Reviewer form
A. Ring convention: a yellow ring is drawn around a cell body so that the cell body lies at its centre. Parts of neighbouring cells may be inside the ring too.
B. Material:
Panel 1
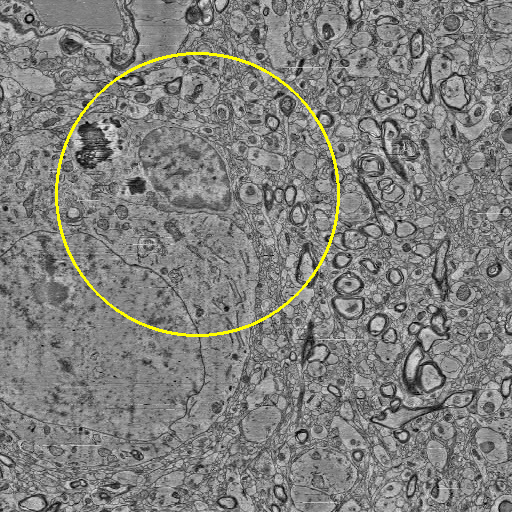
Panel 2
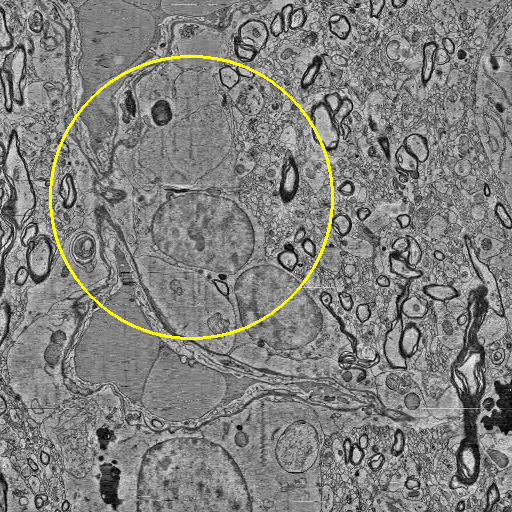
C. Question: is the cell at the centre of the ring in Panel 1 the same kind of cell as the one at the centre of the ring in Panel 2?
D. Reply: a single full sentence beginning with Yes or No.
Yes, the cells in Panel 1 and Panel 2 are the same kind of cell.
